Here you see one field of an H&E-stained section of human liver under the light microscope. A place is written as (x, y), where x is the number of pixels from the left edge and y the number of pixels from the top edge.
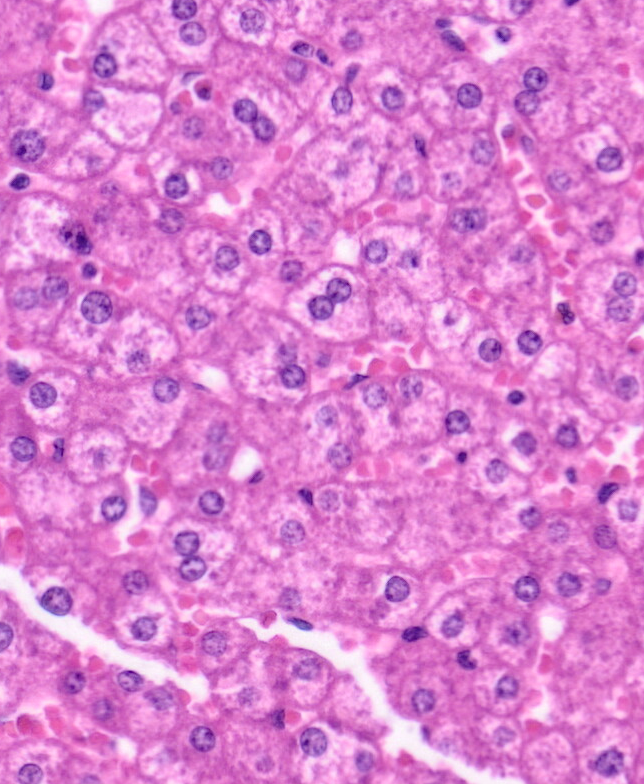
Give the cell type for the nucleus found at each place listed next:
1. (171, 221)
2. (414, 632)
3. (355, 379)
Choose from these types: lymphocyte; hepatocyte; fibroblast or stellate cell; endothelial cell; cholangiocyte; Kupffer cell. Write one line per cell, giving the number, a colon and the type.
1: hepatocyte
2: fibroblast or stellate cell
3: endothelial cell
